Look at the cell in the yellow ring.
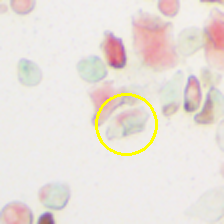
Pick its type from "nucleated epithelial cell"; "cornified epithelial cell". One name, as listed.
cornified epithelial cell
